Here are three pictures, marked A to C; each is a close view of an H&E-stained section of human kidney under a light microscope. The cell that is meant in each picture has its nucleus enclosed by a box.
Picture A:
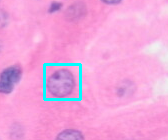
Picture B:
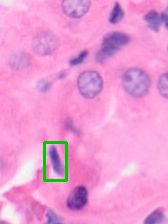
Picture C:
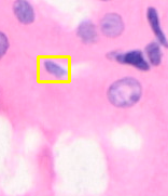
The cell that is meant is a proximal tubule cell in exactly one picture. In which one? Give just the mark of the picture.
A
